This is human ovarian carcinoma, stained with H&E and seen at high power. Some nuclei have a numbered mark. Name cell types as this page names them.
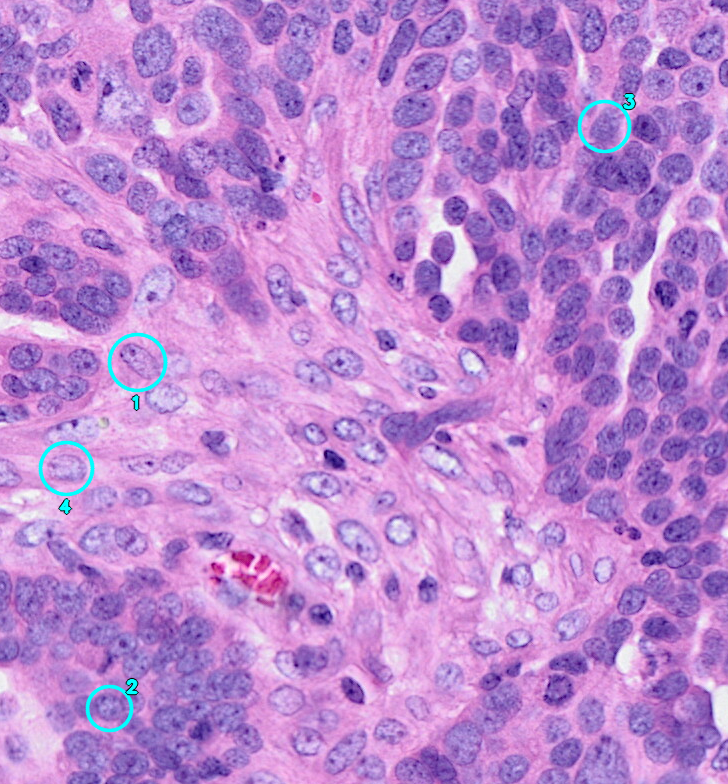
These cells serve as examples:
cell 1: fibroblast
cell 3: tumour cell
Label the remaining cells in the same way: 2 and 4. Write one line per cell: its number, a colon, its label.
2: tumour cell
4: fibroblast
